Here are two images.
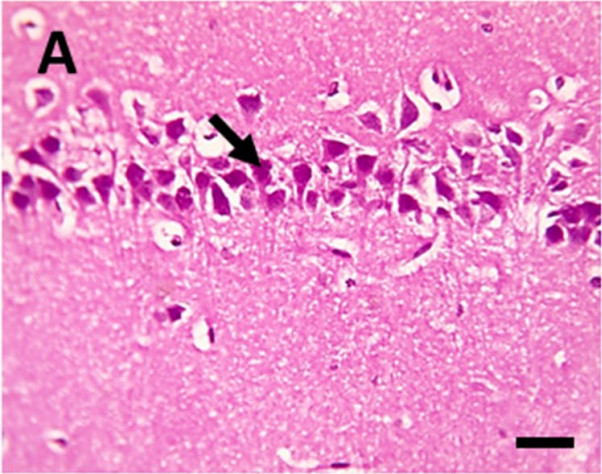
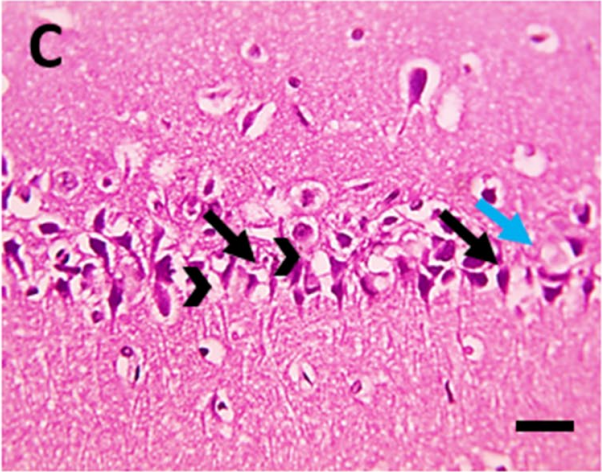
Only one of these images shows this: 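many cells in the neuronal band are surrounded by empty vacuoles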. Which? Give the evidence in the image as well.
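The second image. Second image: numerous cell bodies in the band sit in clear pale halos.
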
